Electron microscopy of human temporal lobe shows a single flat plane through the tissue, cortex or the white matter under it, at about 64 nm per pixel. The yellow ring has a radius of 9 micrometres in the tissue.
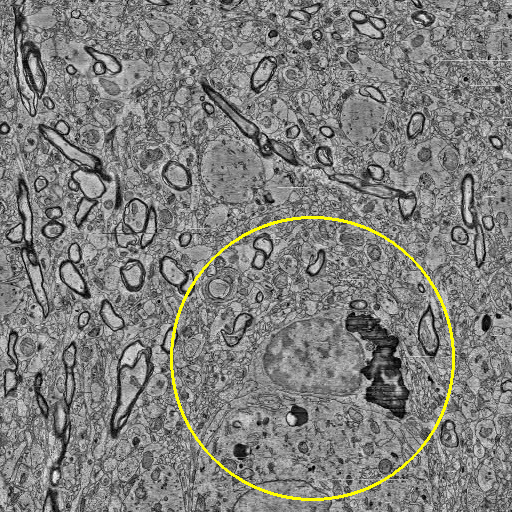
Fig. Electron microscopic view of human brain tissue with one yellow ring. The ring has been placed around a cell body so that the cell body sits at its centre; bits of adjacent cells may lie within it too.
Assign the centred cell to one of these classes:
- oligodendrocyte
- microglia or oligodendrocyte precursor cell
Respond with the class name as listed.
oligodendrocyte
